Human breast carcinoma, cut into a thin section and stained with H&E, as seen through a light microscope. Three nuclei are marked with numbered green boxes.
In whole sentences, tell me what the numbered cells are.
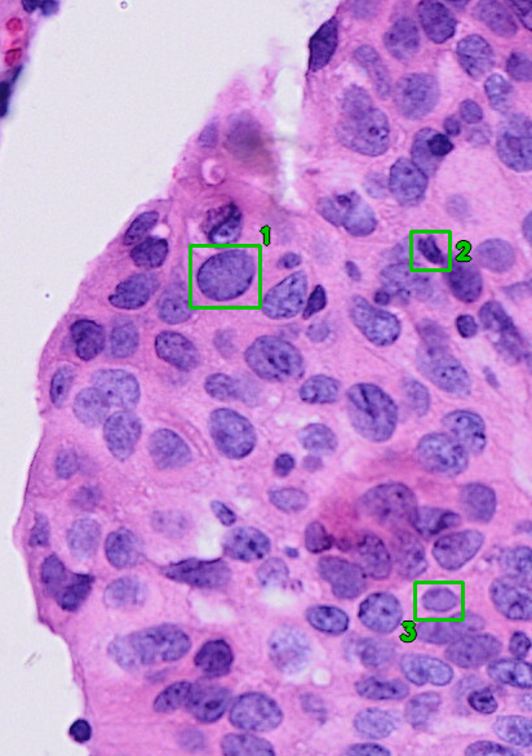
Cell 1 is a carcinoma cell, cell 2 is a lymphocyte and cell 3 is a carcinoma cell.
